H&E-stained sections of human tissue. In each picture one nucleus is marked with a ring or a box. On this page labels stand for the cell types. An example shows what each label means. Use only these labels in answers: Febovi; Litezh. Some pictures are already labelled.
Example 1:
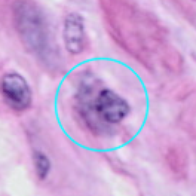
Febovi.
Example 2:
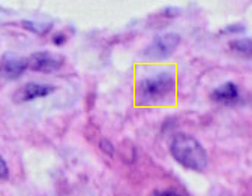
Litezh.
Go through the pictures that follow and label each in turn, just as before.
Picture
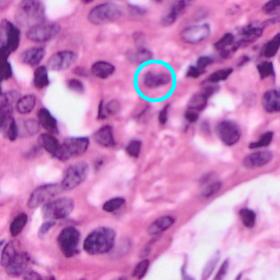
Febovi.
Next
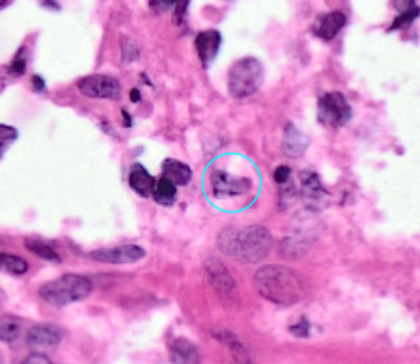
Febovi.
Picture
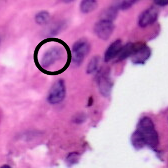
Febovi.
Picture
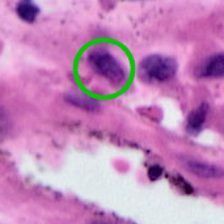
Litezh.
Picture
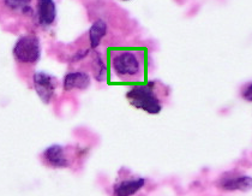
Febovi.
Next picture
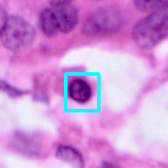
Febovi.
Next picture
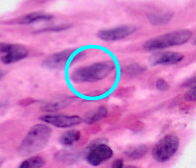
Litezh.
